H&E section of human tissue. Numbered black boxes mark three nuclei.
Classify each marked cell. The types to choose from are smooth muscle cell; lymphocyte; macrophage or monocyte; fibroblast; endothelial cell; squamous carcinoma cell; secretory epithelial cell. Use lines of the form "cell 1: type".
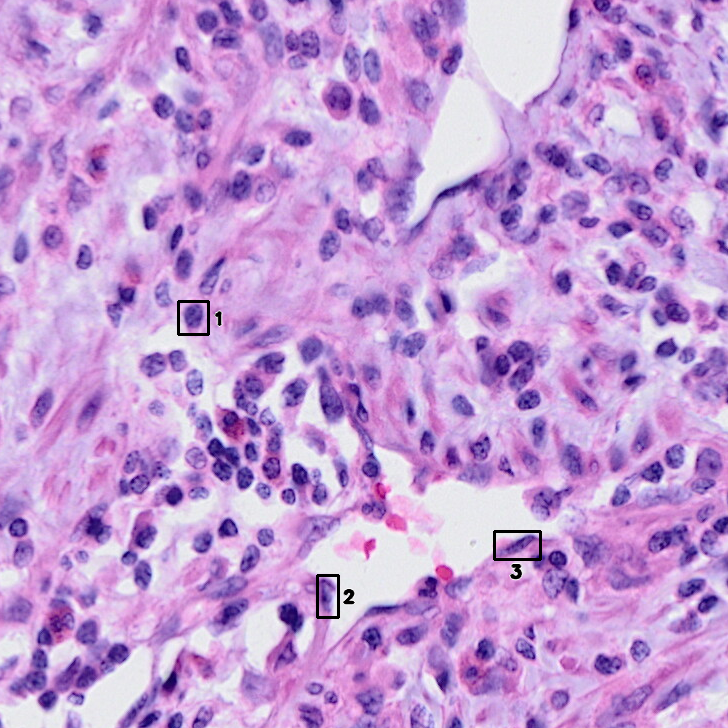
cell 1: lymphocyte
cell 2: endothelial cell
cell 3: endothelial cell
